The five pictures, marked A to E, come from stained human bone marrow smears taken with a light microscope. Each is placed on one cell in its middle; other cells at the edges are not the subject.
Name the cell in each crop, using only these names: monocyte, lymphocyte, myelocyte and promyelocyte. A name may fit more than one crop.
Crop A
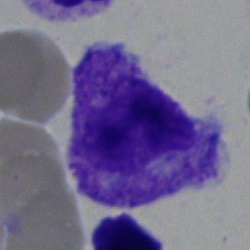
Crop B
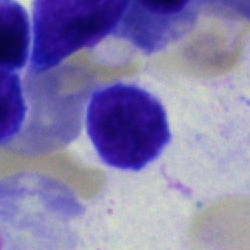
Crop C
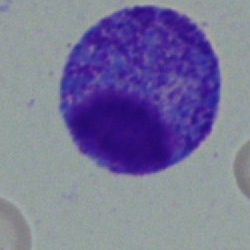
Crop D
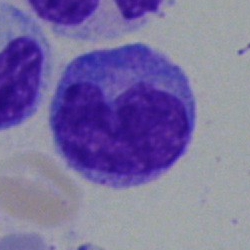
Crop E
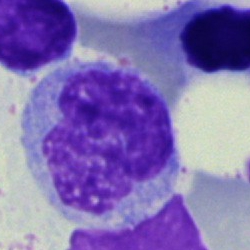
A: myelocyte
B: lymphocyte
C: promyelocyte
D: monocyte
E: monocyte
